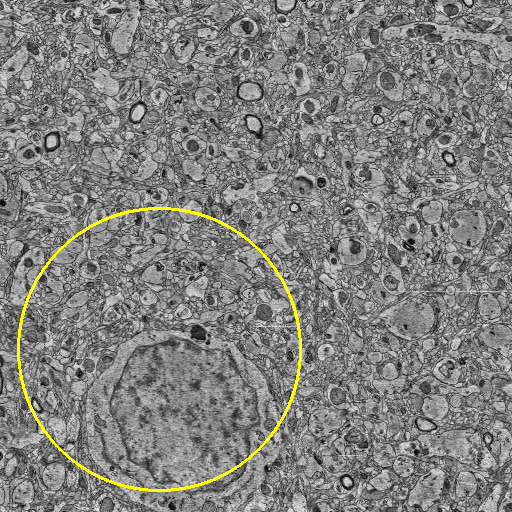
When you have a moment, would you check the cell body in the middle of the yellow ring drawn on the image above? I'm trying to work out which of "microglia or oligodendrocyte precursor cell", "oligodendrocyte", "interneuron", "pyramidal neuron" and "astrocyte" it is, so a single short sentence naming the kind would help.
This cell body belongs to an interneuron.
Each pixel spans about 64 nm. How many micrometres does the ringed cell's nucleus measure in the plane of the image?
In this plane, about 11 micrometres in length and 9 in width.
